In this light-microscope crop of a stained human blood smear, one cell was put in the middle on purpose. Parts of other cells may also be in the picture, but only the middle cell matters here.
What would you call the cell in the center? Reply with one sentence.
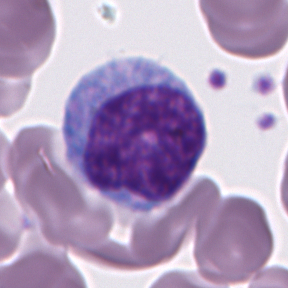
The cell in the middle of the field of view is a monocyte.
